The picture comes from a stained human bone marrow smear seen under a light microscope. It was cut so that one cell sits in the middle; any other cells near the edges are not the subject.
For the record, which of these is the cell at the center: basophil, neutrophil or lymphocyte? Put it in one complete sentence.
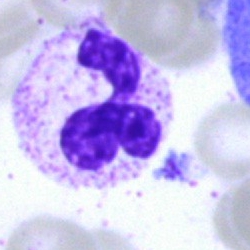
The cell centered in this field of view is a neutrophil.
